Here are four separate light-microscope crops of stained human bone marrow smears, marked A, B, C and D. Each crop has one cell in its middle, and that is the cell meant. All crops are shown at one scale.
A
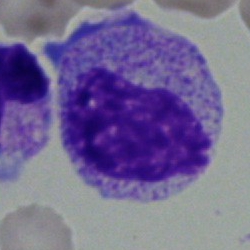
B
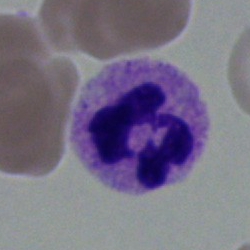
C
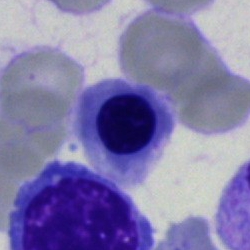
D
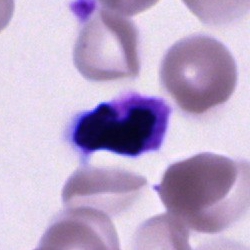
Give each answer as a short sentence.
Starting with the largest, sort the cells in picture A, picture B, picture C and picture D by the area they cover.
Going down, they run A, B, C, D.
